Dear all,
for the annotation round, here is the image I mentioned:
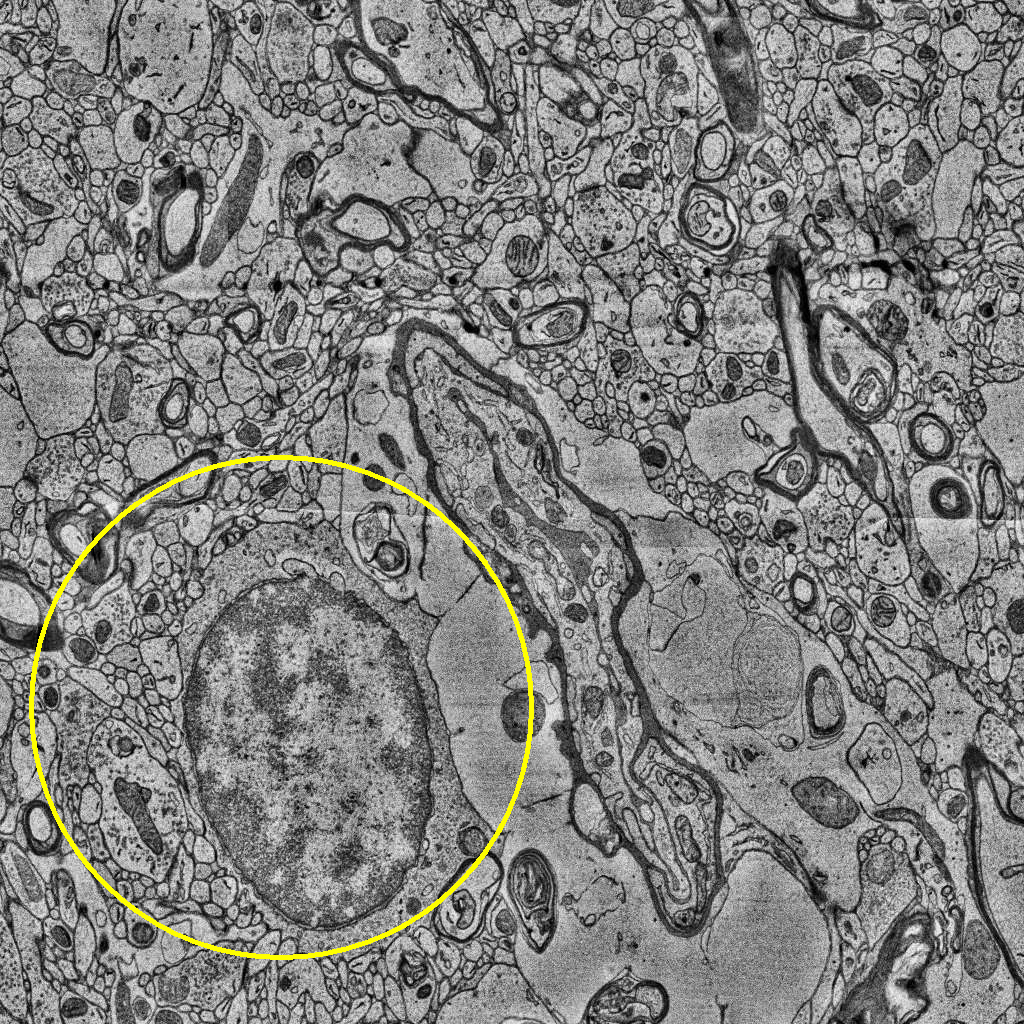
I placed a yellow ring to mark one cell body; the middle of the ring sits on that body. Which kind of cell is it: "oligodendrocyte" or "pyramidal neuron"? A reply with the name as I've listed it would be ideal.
oligodendrocyte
